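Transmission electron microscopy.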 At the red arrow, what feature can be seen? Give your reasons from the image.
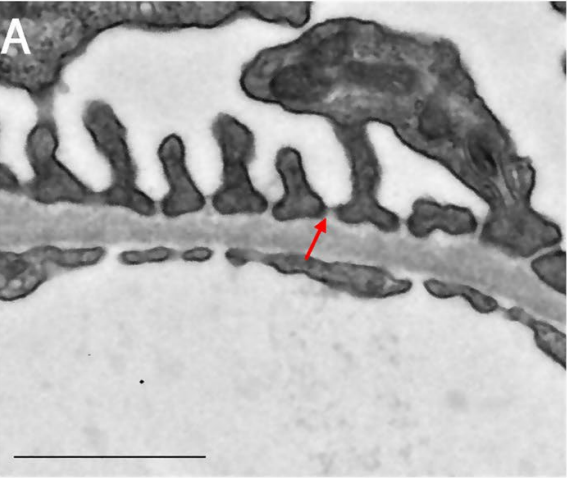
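Slit diaphragms. The arrow points to the narrow gap between two adjacent foot-like processes. The processes rest side by side on a grey band of basement membrane.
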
